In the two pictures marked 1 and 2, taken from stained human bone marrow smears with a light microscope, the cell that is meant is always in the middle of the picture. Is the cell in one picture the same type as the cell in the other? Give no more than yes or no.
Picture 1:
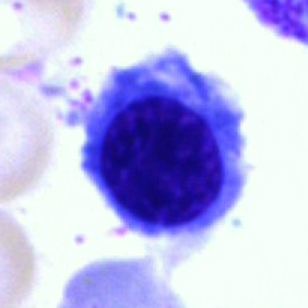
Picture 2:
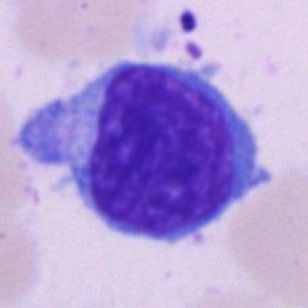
no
